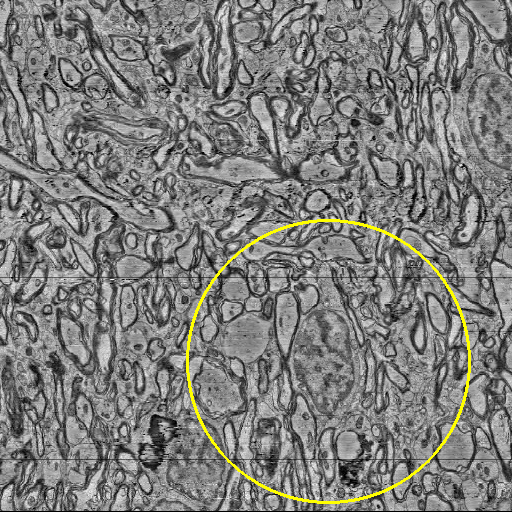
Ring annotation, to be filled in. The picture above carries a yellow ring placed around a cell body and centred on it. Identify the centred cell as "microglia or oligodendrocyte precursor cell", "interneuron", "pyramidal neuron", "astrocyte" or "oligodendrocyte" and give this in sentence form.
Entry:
The cell in the middle of the ring is an oligodendrocyte.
